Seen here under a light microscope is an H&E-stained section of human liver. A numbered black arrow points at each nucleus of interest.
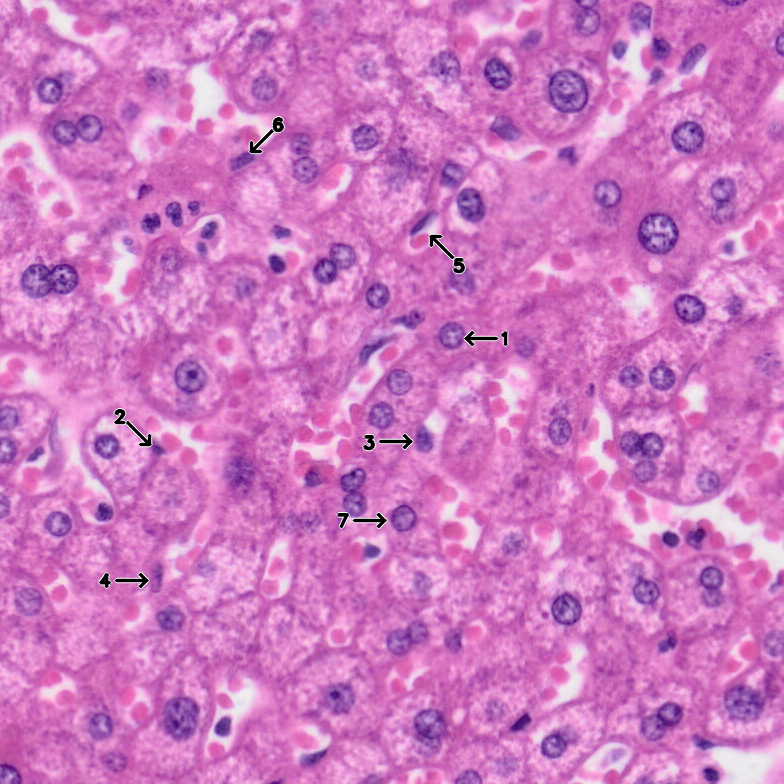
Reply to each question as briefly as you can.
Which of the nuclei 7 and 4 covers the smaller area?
4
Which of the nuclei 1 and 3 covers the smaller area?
3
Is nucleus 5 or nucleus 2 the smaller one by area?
2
